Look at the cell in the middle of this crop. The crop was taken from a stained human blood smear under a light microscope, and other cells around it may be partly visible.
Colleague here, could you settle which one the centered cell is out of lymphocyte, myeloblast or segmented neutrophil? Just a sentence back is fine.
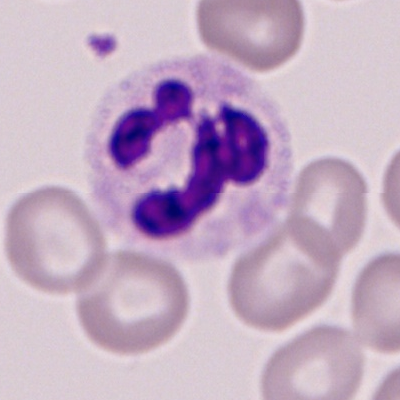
The central cell shown in this smear crop is a segmented neutrophil.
